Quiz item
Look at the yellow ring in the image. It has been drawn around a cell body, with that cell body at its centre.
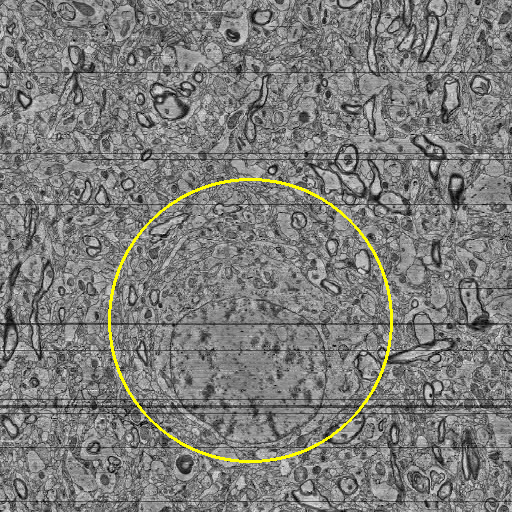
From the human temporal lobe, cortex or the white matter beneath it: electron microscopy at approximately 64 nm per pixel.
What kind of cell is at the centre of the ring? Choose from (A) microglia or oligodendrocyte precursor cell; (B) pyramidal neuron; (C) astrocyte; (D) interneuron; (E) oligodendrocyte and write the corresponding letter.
B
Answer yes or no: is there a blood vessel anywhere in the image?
No, there is no blood vessel.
